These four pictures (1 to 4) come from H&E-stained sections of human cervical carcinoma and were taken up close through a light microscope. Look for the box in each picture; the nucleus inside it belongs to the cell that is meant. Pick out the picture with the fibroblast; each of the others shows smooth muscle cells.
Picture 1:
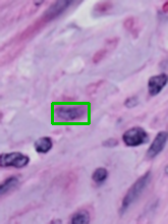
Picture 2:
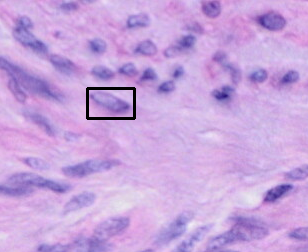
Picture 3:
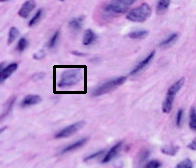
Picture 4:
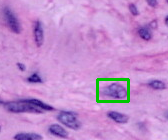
3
